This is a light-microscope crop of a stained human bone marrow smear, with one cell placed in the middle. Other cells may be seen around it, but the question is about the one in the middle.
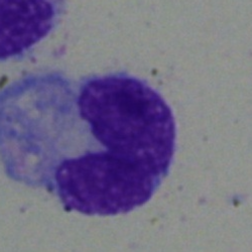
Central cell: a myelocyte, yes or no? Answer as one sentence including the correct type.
No, in this crop the middle cell is a metamyelocyte, not a myelocyte.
